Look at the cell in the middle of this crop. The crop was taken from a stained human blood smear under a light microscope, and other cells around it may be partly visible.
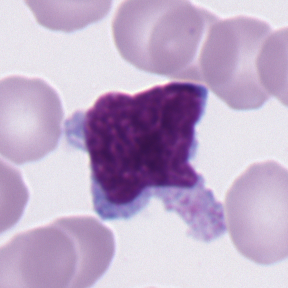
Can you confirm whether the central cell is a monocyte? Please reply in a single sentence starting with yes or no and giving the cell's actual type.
No, in this crop the middle cell is a large granular lymphocyte, not a monocyte.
